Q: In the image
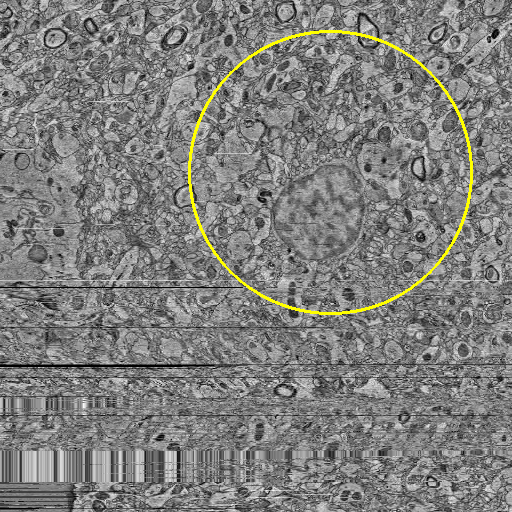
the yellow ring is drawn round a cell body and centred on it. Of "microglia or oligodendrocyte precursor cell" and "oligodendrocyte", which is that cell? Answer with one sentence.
The cell centred in the ring is an oligodendrocyte.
